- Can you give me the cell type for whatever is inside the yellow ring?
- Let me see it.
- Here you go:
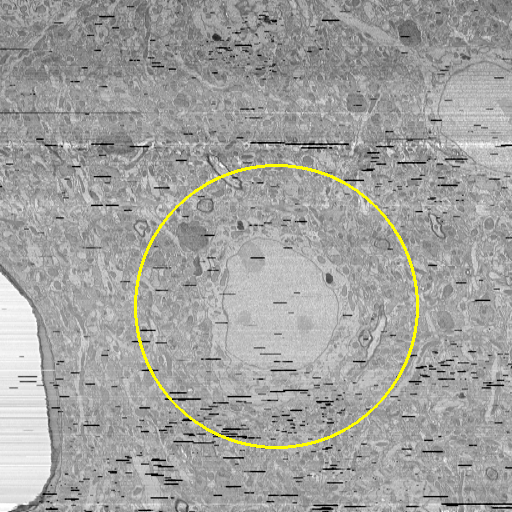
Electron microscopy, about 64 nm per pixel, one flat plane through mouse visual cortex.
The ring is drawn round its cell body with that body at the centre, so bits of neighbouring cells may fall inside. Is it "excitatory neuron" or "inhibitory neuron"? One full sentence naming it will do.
The cell body in the middle of the ring in this picture belongs to an excitatory neuron.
